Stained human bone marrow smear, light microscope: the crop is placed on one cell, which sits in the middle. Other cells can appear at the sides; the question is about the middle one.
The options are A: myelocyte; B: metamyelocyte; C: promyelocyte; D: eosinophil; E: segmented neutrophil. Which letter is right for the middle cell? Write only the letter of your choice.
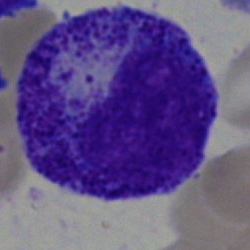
C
